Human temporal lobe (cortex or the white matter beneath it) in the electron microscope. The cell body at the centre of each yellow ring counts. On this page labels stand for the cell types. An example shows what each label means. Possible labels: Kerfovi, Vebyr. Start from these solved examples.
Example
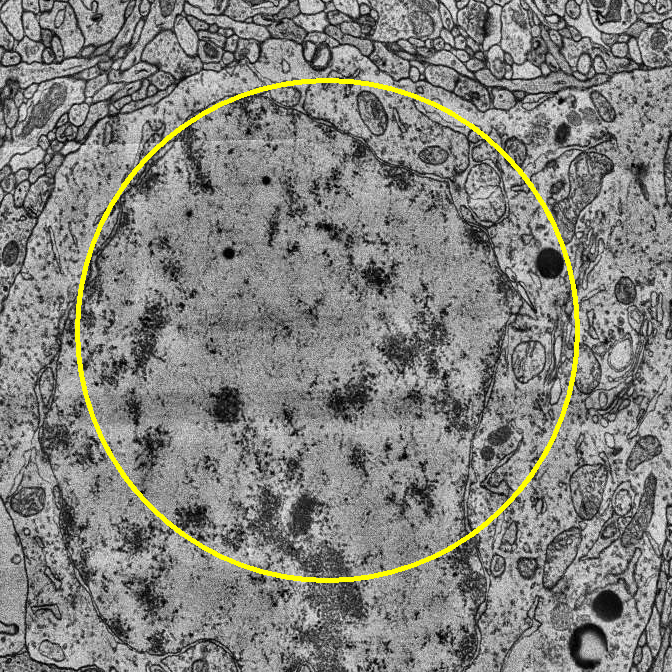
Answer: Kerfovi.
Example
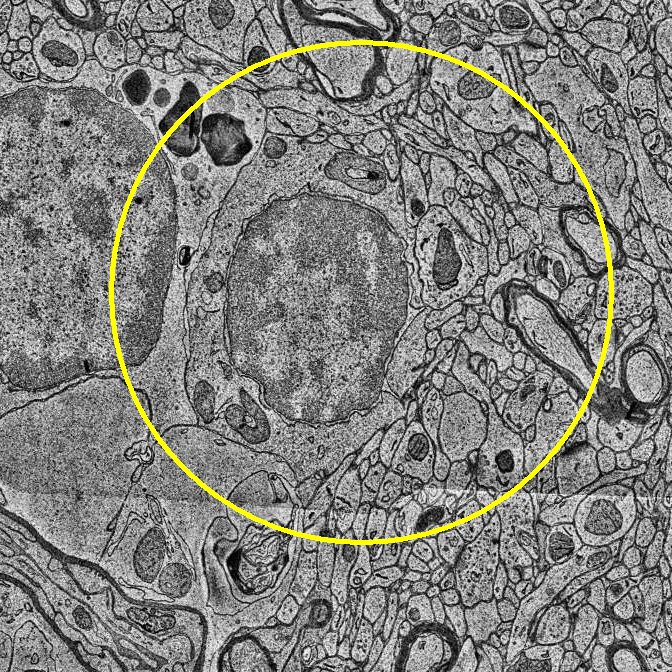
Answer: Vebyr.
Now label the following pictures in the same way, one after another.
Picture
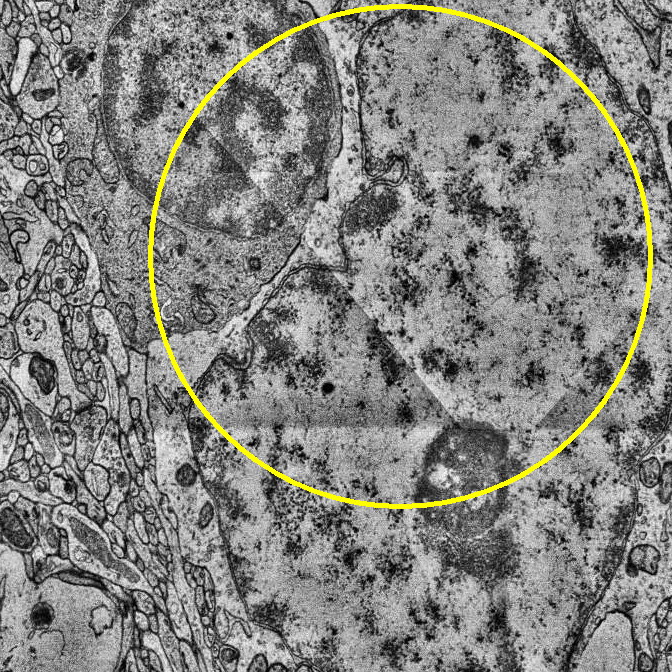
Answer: Kerfovi.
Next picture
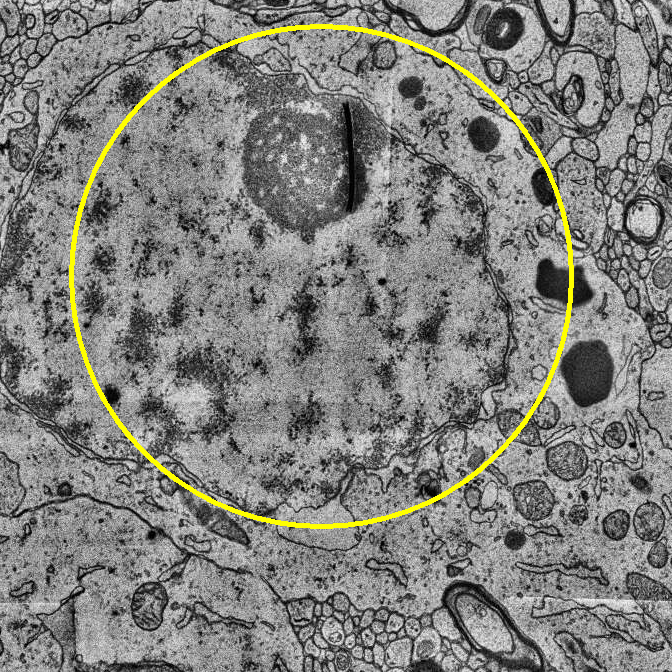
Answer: Kerfovi.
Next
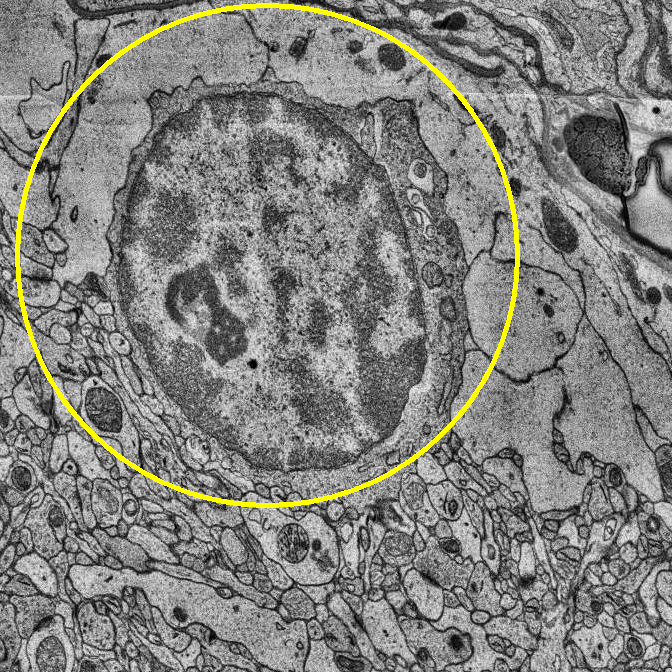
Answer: Vebyr.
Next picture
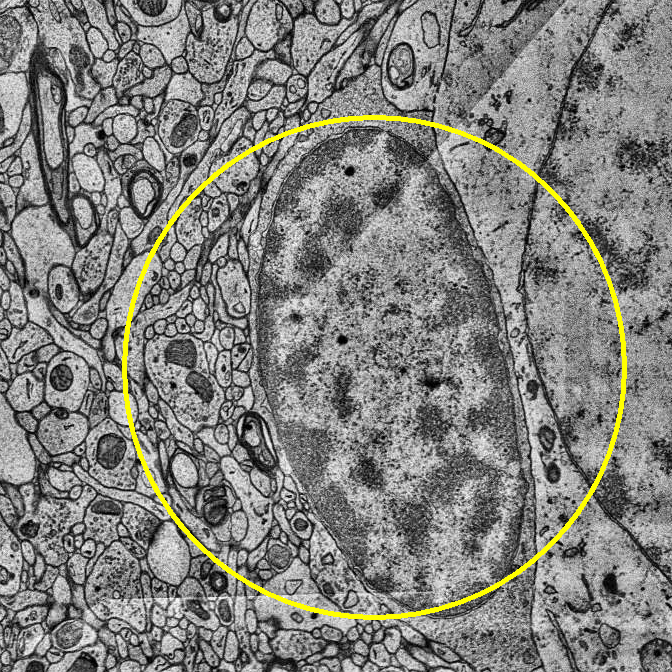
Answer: Vebyr.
